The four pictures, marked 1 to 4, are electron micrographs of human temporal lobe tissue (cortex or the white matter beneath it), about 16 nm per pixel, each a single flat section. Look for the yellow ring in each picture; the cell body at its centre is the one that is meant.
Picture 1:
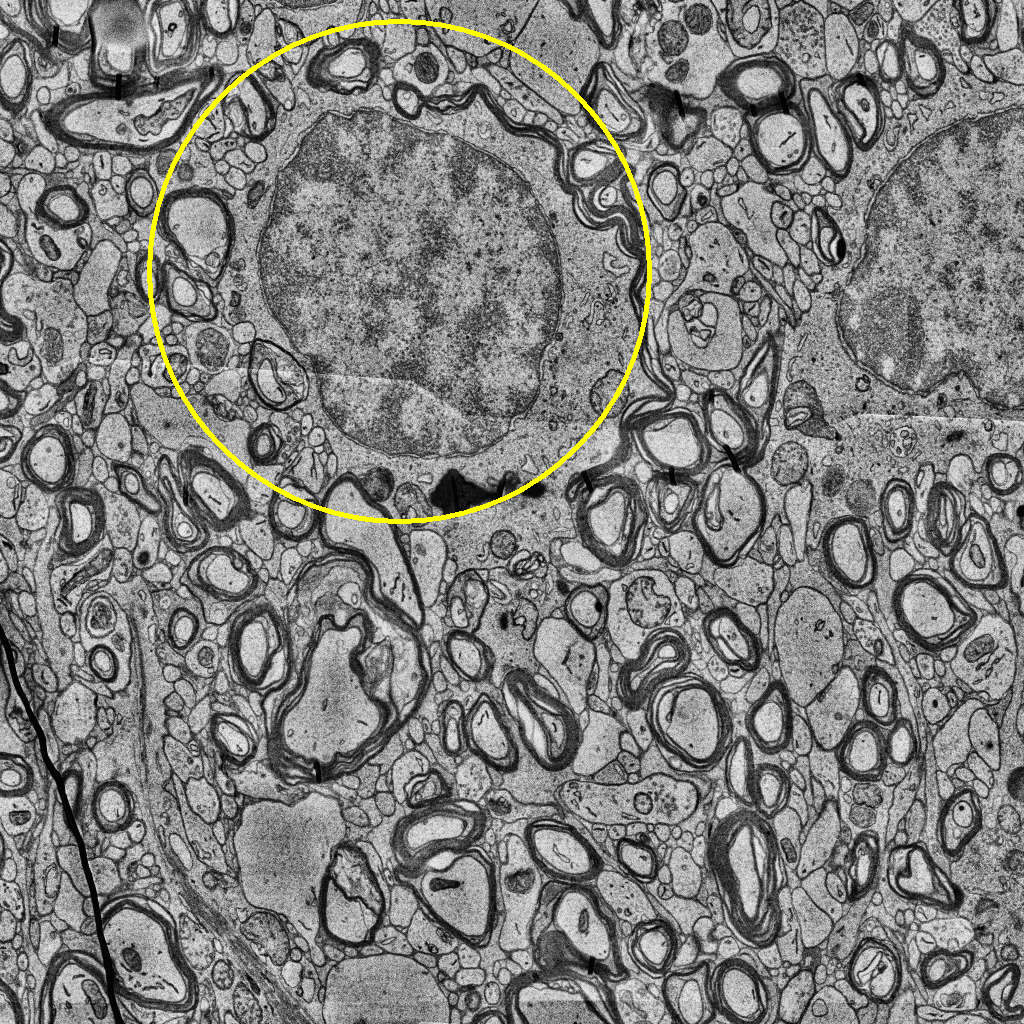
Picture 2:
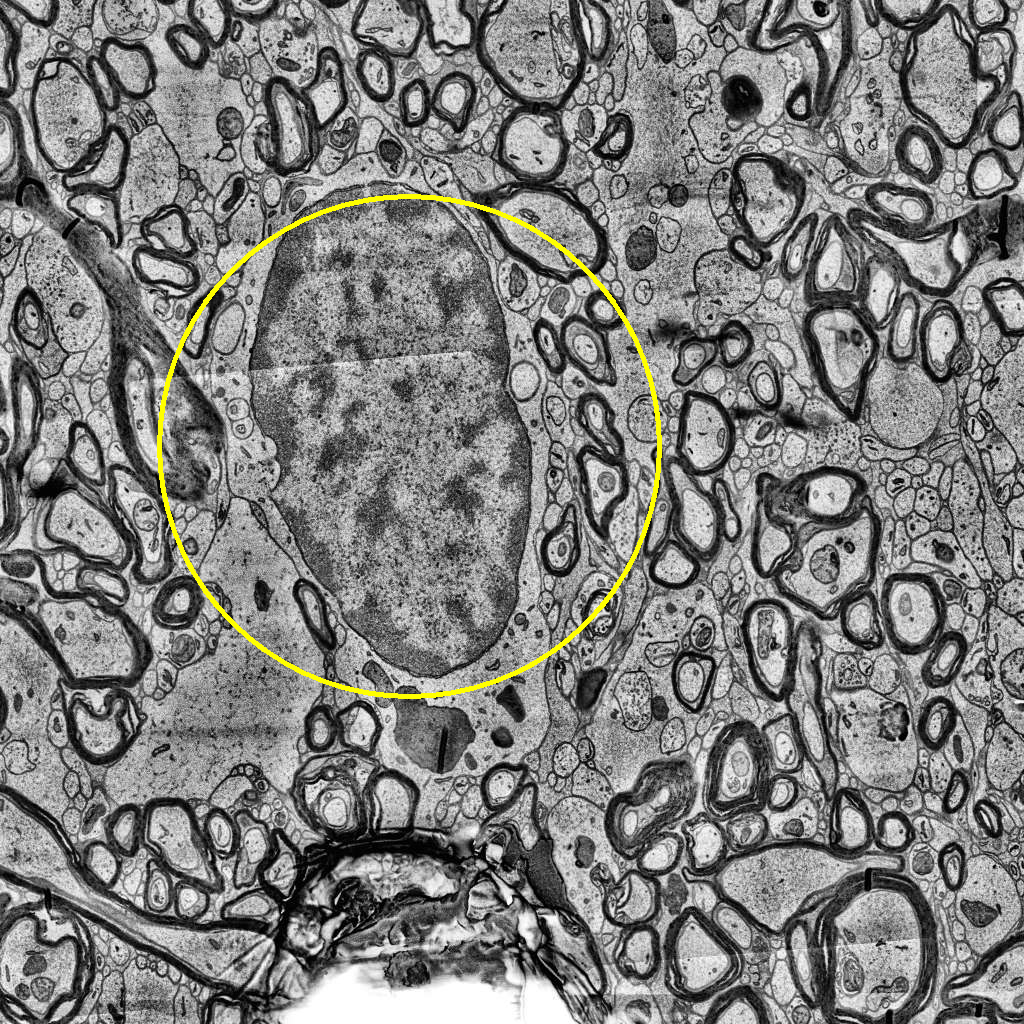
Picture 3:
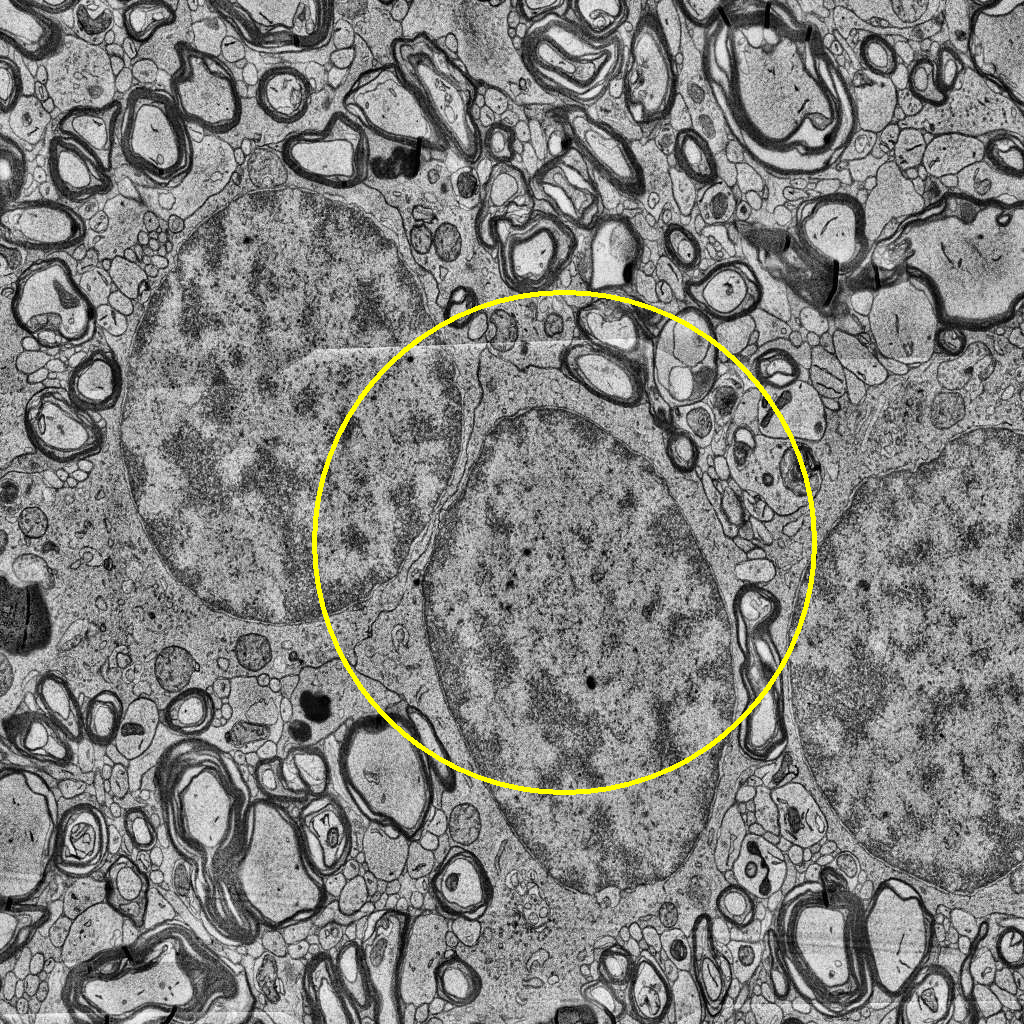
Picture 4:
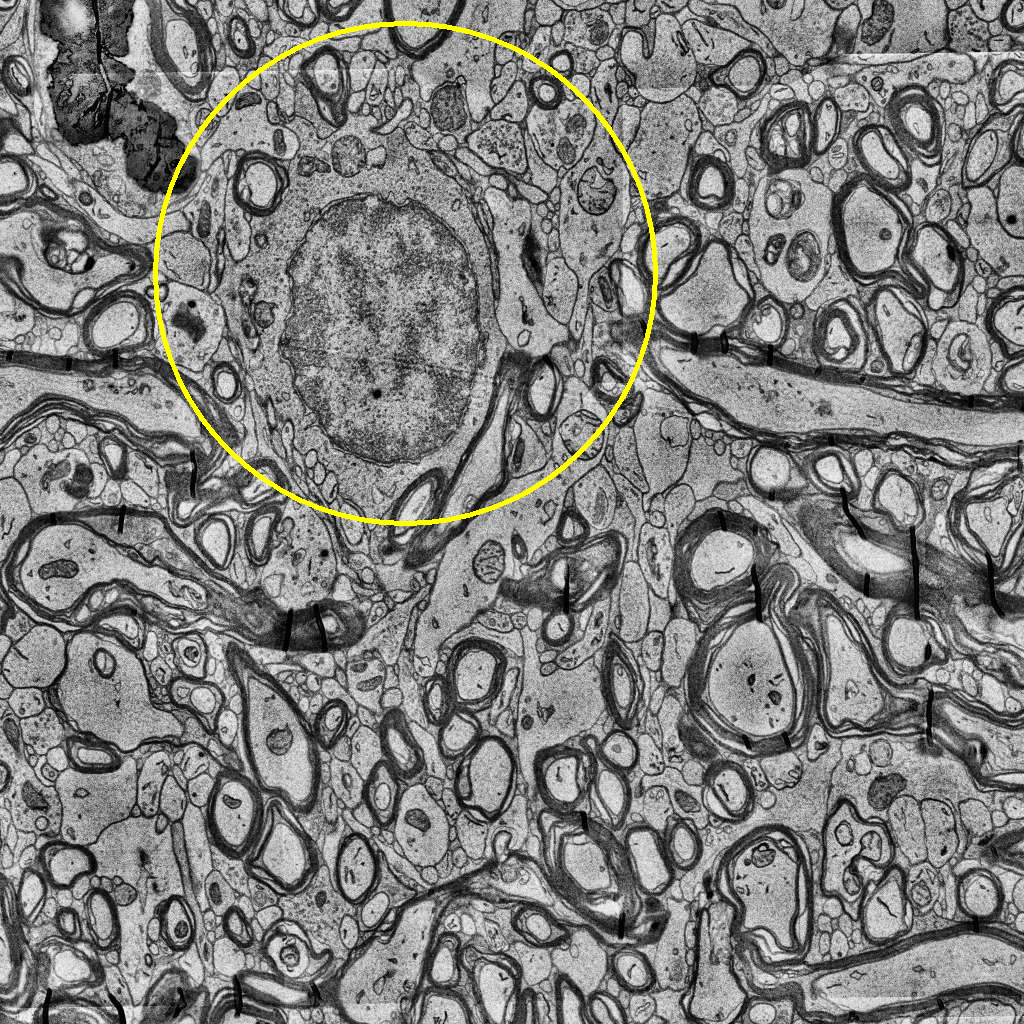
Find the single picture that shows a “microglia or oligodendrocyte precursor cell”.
The “microglia or oligodendrocyte precursor cell” is the one in picture 2.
